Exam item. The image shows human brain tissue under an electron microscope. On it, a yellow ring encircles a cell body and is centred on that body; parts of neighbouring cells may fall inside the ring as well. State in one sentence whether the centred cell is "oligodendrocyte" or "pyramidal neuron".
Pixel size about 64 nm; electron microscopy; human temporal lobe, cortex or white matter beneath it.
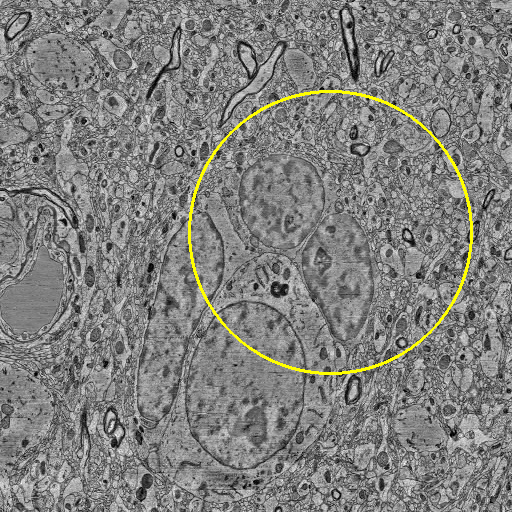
The cell body centred in the ring is an oligodendrocyte.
